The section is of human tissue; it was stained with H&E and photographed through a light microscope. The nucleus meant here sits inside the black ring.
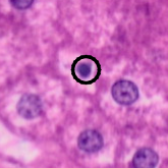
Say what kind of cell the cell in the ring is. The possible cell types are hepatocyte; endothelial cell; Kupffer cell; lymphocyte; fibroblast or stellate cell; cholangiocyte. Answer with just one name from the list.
lymphocyte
